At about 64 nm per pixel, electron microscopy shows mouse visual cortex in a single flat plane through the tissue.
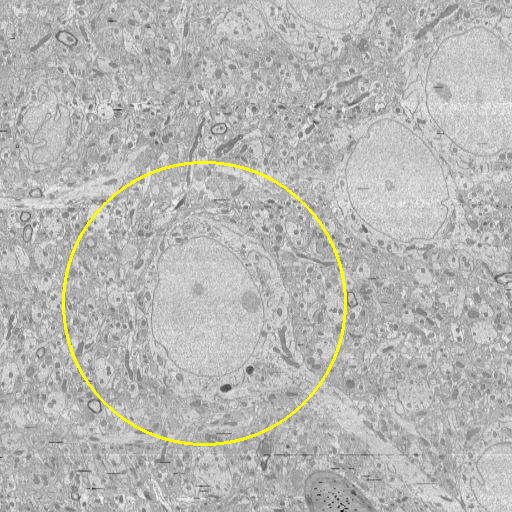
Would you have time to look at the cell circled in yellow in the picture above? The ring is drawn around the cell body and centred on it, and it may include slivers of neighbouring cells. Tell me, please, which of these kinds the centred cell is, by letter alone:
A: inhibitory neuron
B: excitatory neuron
B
